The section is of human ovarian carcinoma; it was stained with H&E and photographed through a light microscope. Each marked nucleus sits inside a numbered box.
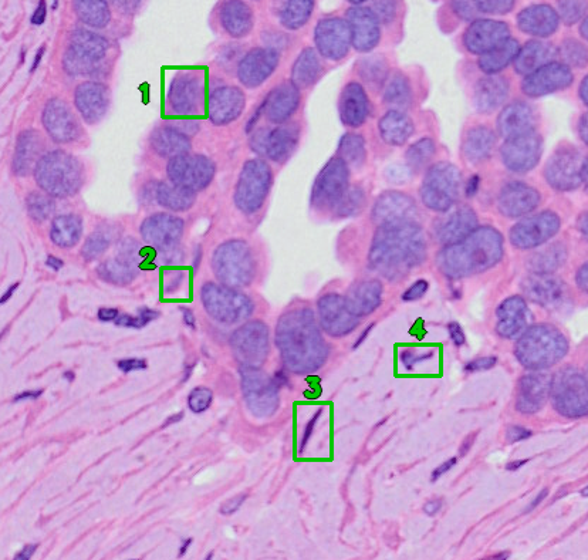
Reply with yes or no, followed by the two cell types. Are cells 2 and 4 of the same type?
Yes, both are fibroblasts.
